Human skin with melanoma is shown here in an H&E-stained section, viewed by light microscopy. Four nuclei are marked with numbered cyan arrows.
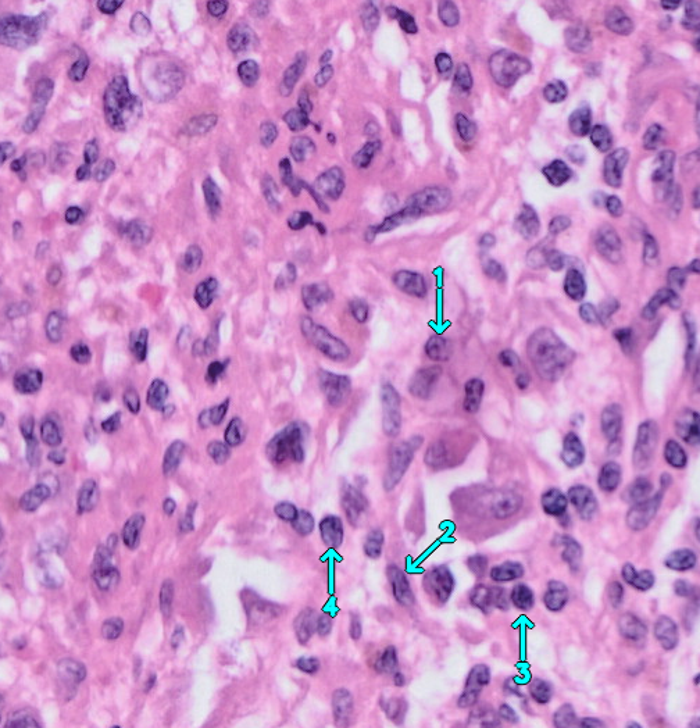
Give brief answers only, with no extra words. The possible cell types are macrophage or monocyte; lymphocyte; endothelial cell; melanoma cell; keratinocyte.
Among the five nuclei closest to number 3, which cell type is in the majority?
macrophage or monocyte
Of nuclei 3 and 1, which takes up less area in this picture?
3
